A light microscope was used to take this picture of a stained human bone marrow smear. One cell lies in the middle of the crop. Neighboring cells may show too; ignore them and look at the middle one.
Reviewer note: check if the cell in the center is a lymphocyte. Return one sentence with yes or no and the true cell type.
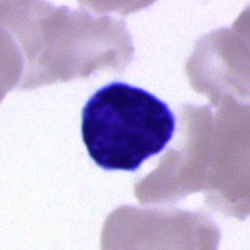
Yes, the cell positioned at the centre of the crop is a lymphocyte.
